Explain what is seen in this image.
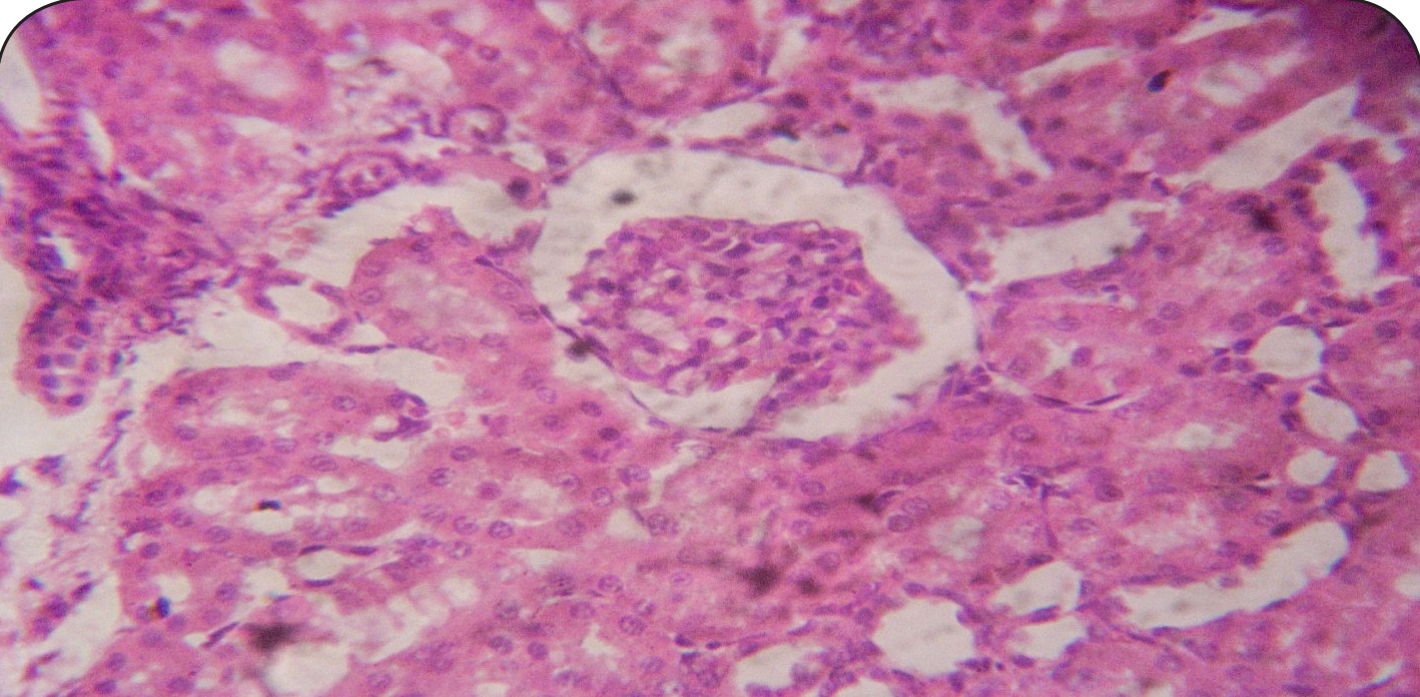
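This is kidney cortex with a glomerulus at its centre, surrounded by closely packed renal tubules. The glomerulus is a rounded tuft of capillary loops and cells with purple nuclei. It lies within a clear space bounded by a thin capsule of flattened cells. The surrounding tubules are lined by cuboidal epithelial cells with pink, somewhat granular cytoplasm and round purple nuclei. The glomerular tuft itself keeps its rounded, lobulated outline.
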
